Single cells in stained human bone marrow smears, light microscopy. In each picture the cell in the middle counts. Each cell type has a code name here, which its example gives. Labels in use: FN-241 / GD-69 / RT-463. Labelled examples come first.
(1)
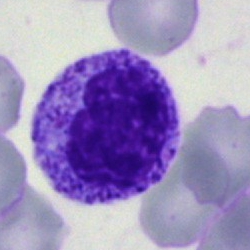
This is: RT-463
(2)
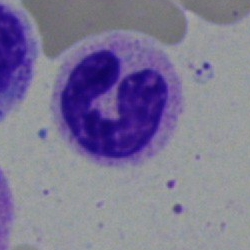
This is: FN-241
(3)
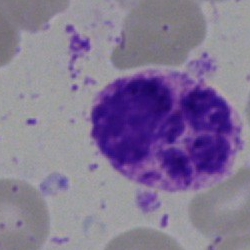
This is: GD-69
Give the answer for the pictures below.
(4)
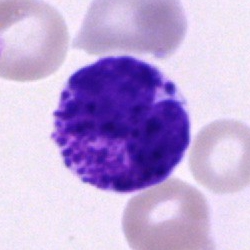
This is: GD-69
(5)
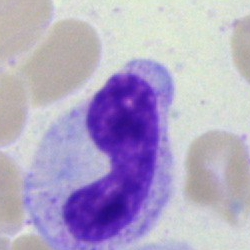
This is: FN-241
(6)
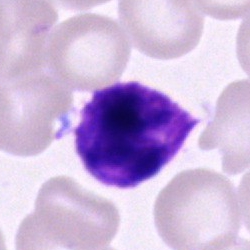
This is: GD-69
